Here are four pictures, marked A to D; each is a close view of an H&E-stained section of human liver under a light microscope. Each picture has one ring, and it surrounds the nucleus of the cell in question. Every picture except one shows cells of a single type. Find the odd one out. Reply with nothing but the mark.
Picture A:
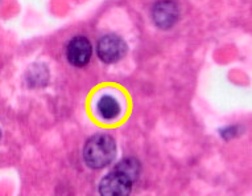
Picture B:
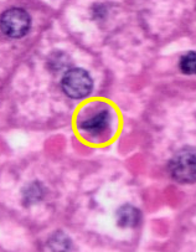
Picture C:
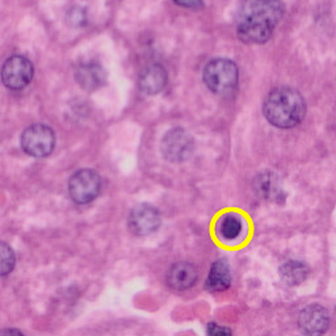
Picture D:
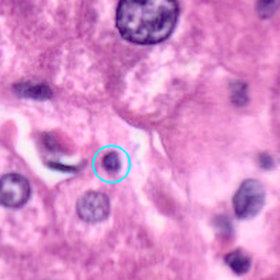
B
